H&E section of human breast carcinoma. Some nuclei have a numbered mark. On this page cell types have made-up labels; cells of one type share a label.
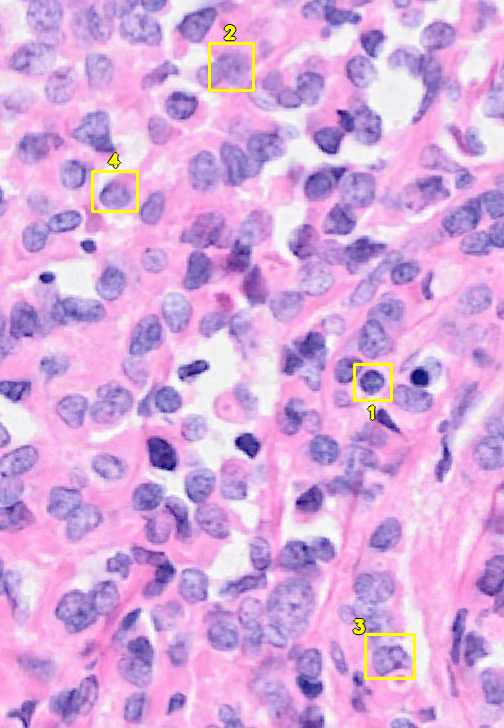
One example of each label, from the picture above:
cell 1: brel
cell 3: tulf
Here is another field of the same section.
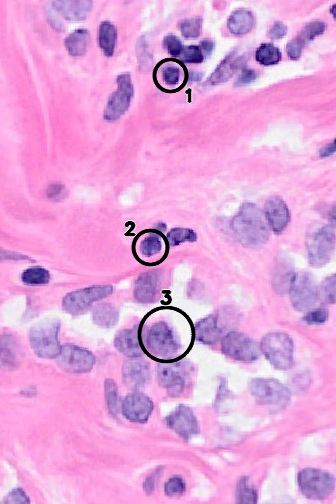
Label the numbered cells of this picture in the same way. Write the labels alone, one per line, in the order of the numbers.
brel
brel
tulf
